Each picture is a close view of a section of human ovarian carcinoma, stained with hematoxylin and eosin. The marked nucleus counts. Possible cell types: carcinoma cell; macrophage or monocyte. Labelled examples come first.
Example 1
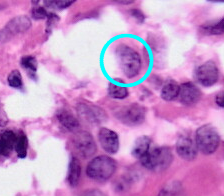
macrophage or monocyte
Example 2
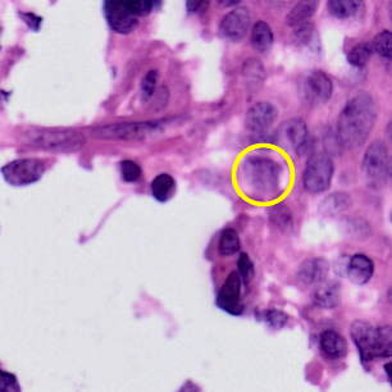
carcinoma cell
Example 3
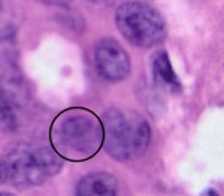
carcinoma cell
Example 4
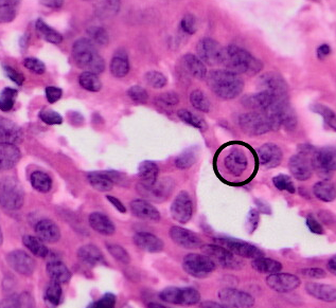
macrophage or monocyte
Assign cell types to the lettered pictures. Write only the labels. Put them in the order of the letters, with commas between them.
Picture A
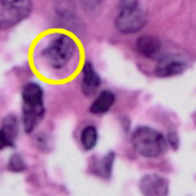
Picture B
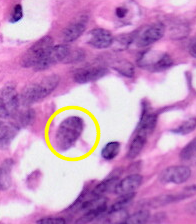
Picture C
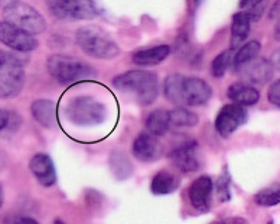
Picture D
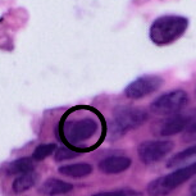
macrophage or monocyte, carcinoma cell, carcinoma cell, carcinoma cell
